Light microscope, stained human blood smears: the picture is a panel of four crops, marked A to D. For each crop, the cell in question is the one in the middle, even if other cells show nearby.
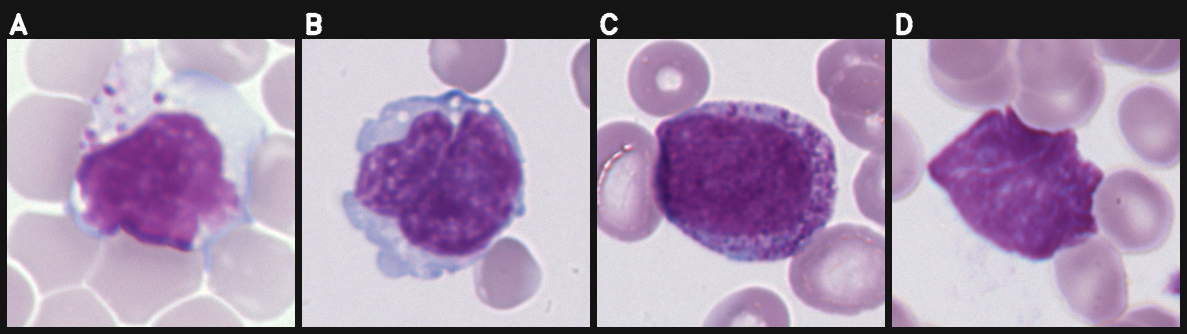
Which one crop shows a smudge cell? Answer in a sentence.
The one showing a smudge cell is the crop labelled D.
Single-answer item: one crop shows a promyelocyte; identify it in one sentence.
In this series, a promyelocyte is shown by crop C.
